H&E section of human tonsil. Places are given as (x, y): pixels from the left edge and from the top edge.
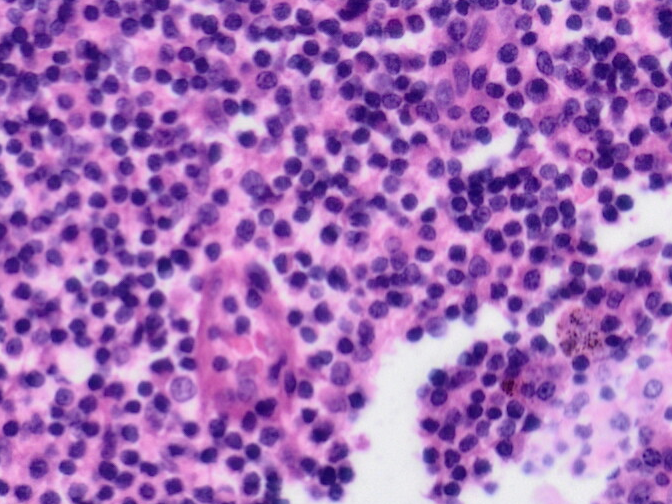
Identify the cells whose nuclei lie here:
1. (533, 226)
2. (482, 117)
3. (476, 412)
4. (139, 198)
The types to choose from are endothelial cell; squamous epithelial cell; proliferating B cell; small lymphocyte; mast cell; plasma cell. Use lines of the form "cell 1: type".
cell 1: small lymphocyte
cell 2: plasma cell
cell 3: small lymphocyte
cell 4: small lymphocyte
